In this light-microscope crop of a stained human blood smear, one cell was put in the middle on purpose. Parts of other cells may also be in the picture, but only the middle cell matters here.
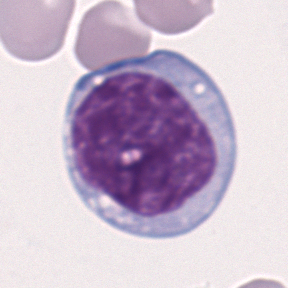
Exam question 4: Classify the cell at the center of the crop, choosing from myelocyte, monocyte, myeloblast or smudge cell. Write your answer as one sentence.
The cell centered in this field of view is a myeloblast.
